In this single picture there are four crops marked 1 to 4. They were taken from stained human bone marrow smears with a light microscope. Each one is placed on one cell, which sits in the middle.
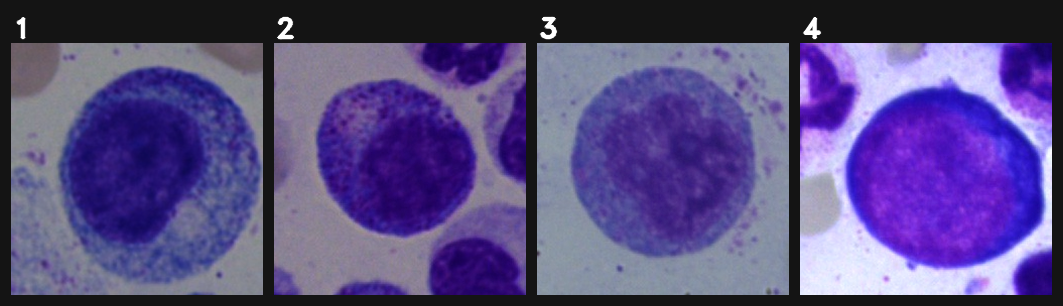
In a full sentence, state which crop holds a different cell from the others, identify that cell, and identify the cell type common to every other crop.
What sets crop 4 apart is that it is a proerythroblast; the others are all promyelocytes.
